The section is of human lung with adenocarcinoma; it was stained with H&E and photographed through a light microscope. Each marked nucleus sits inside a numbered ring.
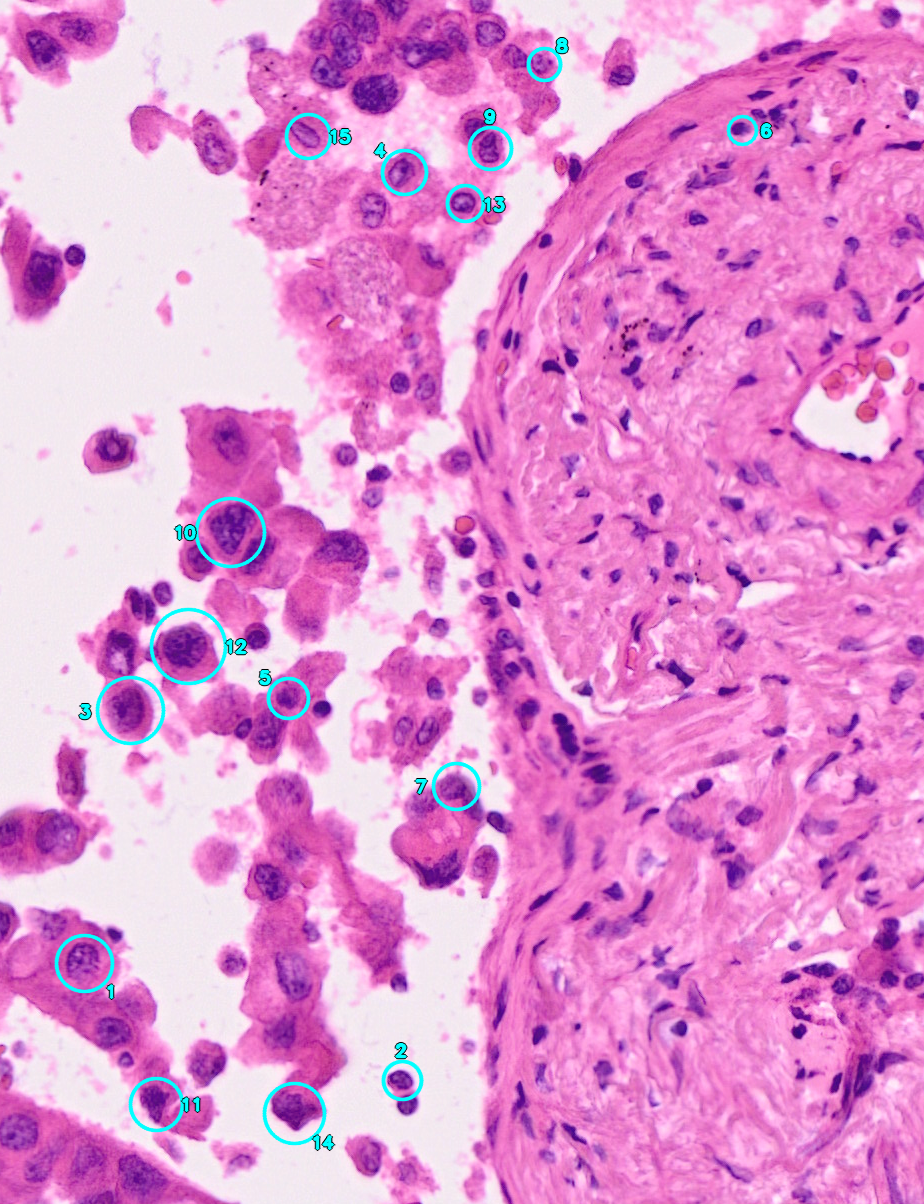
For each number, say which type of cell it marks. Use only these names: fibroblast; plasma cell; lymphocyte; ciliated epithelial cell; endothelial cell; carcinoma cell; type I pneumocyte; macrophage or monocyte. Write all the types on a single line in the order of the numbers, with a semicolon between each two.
carcinoma cell; lymphocyte; carcinoma cell; macrophage or monocyte; carcinoma cell; lymphocyte; carcinoma cell; macrophage or monocyte; macrophage or monocyte; carcinoma cell; carcinoma cell; carcinoma cell; macrophage or monocyte; carcinoma cell; macrophage or monocyte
